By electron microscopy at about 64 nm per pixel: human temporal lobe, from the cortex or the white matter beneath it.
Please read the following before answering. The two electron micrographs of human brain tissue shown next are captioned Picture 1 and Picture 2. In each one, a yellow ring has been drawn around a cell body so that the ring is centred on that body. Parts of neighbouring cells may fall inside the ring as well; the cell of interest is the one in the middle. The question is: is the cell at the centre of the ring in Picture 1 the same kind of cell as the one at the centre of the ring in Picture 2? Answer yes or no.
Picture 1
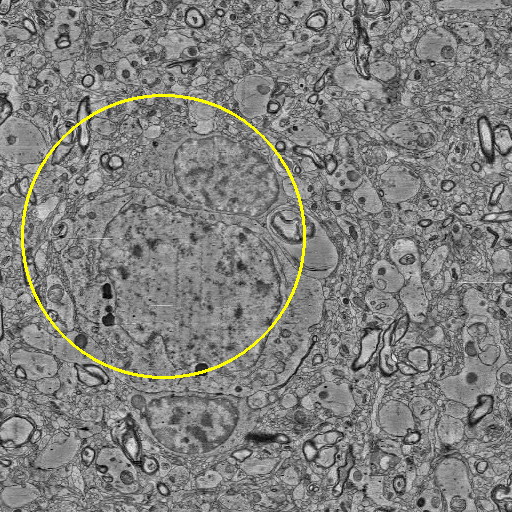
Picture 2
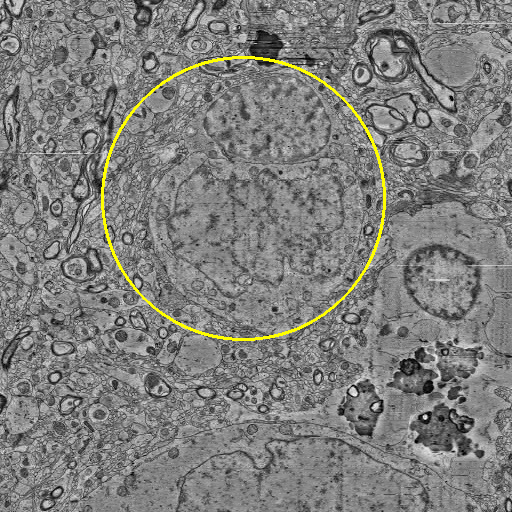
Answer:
yes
